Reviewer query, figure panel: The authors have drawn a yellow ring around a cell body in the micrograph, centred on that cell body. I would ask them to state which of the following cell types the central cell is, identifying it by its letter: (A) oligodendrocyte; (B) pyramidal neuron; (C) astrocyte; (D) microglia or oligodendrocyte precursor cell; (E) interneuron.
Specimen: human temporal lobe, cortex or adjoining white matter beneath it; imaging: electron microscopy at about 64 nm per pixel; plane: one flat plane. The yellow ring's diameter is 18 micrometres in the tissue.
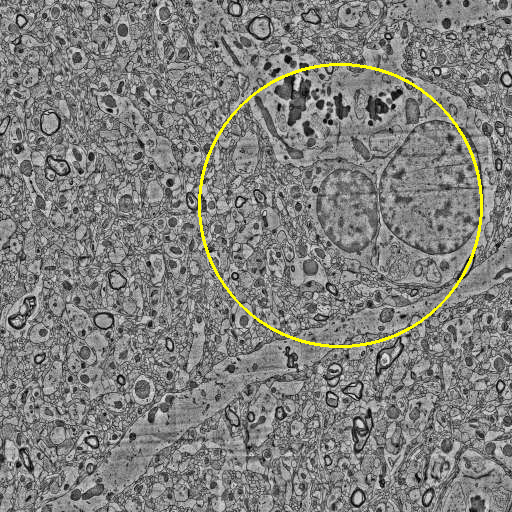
A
